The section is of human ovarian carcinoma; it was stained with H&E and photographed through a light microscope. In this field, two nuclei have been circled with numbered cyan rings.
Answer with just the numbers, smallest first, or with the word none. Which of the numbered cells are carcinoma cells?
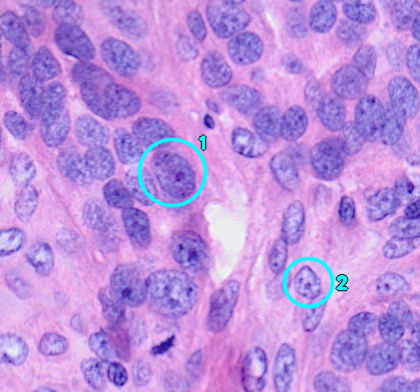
1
